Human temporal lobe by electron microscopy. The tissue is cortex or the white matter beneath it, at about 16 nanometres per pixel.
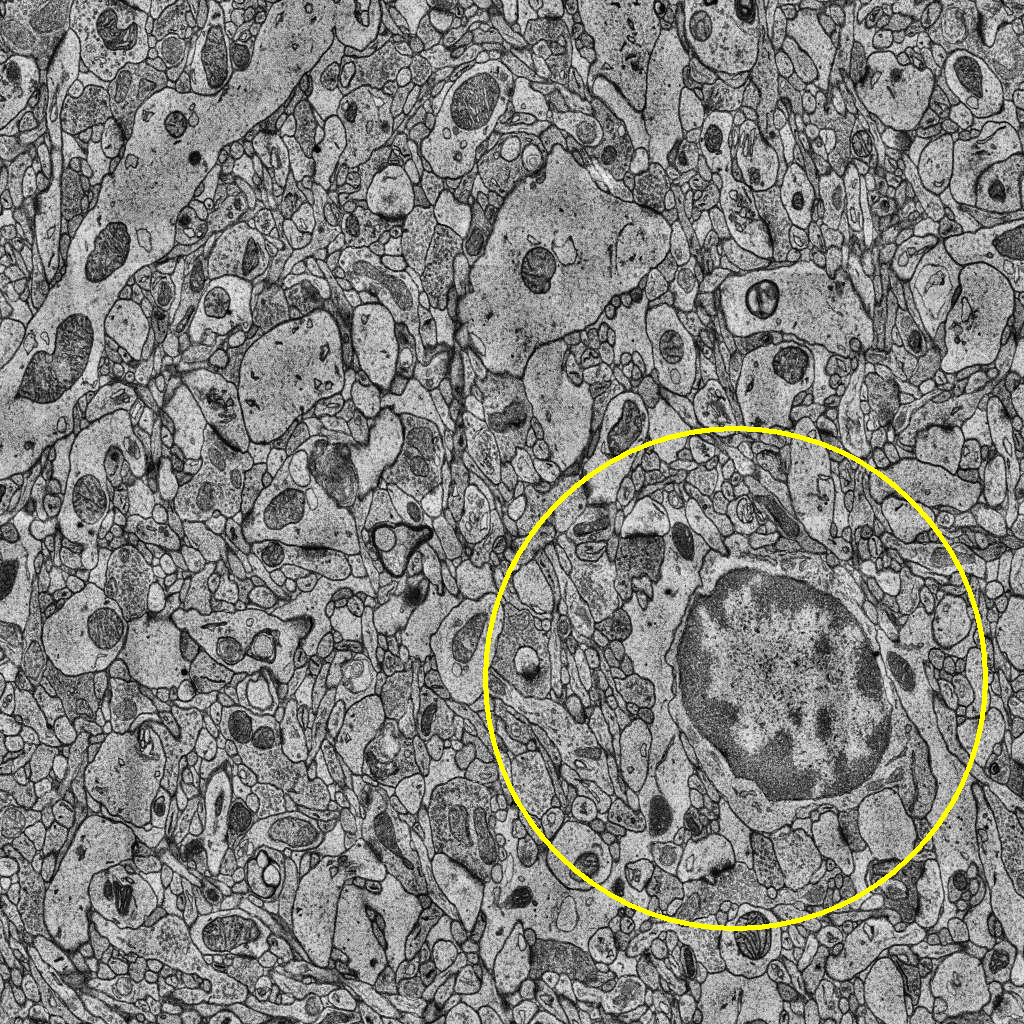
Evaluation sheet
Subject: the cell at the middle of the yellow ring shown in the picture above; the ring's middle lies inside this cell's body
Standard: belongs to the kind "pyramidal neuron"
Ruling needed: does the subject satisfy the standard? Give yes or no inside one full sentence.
No, the cell at the middle of the ring in the picture above belongs to some other kind.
